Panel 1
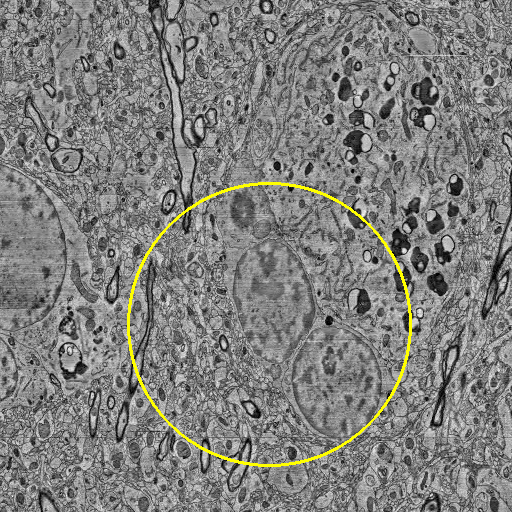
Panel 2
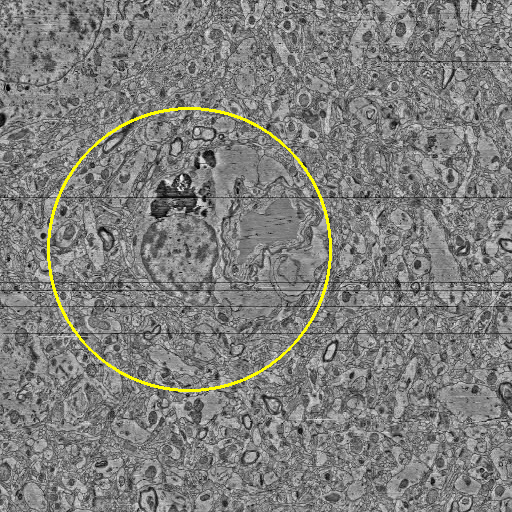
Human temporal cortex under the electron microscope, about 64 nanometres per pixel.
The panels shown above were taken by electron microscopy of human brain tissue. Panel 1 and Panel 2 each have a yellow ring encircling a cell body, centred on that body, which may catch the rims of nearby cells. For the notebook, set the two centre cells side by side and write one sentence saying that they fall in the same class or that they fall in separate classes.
The centred cells of Panel 1 and Panel 2 fall in the same class.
